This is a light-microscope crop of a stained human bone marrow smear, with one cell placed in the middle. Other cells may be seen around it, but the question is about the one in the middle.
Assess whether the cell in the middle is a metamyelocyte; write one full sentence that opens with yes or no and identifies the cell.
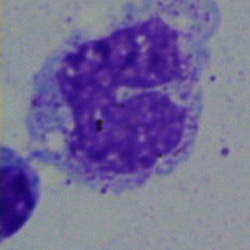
No, rather than a metamyelocyte, the central cell is a monocyte.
